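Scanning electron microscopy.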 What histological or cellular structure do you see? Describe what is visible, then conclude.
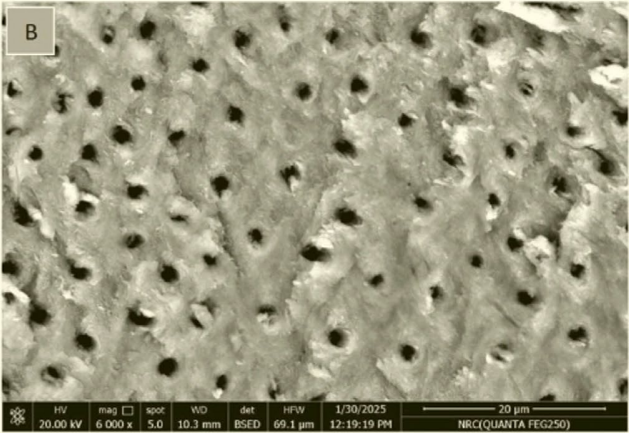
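Many small round dark openings are scattered across a flat surface. The openings are roughly evenly spaced and of similar size. Each opening is a small fraction of the 20 μm scale bar across. That points to this answer: dentinal tubules.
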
